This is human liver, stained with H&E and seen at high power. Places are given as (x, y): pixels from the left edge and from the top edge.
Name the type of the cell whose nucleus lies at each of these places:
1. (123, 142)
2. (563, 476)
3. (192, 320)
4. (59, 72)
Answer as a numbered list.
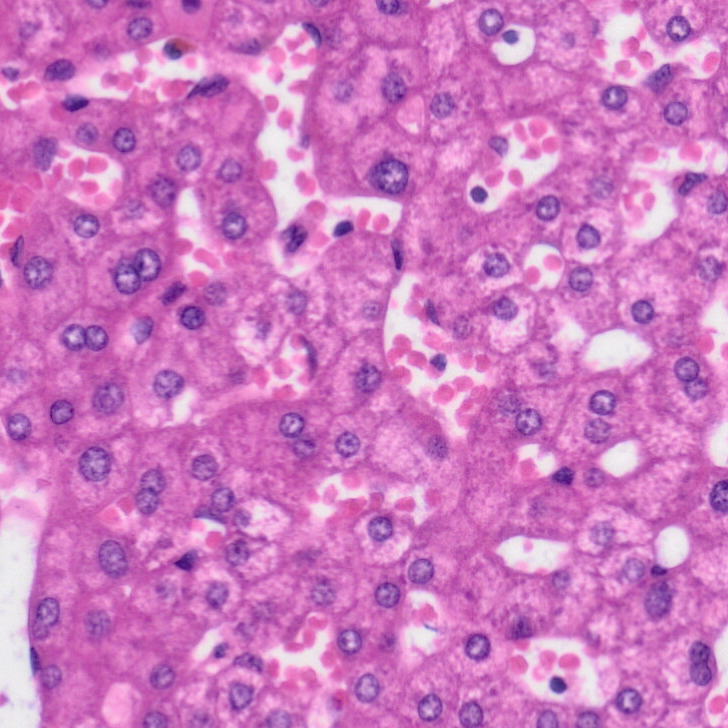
1. hepatocyte
2. fibroblast or stellate cell
3. hepatocyte
4. Kupffer cell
